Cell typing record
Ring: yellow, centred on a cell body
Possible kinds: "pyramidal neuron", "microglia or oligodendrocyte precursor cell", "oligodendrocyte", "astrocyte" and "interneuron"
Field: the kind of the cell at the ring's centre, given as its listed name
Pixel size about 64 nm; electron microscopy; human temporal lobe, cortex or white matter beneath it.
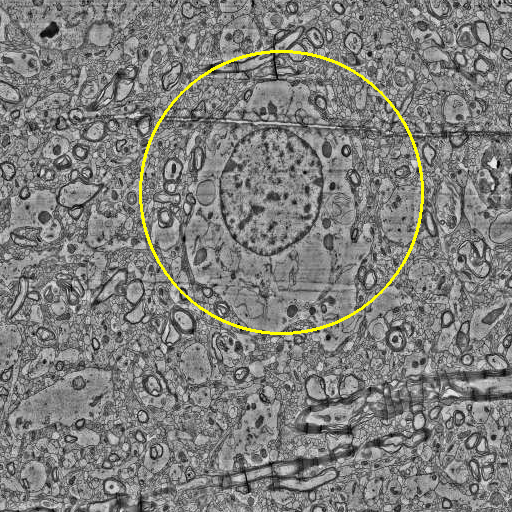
astrocyte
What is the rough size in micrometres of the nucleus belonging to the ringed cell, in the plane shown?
The nucleus measures about 8 by 7 micrometres in this plane.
